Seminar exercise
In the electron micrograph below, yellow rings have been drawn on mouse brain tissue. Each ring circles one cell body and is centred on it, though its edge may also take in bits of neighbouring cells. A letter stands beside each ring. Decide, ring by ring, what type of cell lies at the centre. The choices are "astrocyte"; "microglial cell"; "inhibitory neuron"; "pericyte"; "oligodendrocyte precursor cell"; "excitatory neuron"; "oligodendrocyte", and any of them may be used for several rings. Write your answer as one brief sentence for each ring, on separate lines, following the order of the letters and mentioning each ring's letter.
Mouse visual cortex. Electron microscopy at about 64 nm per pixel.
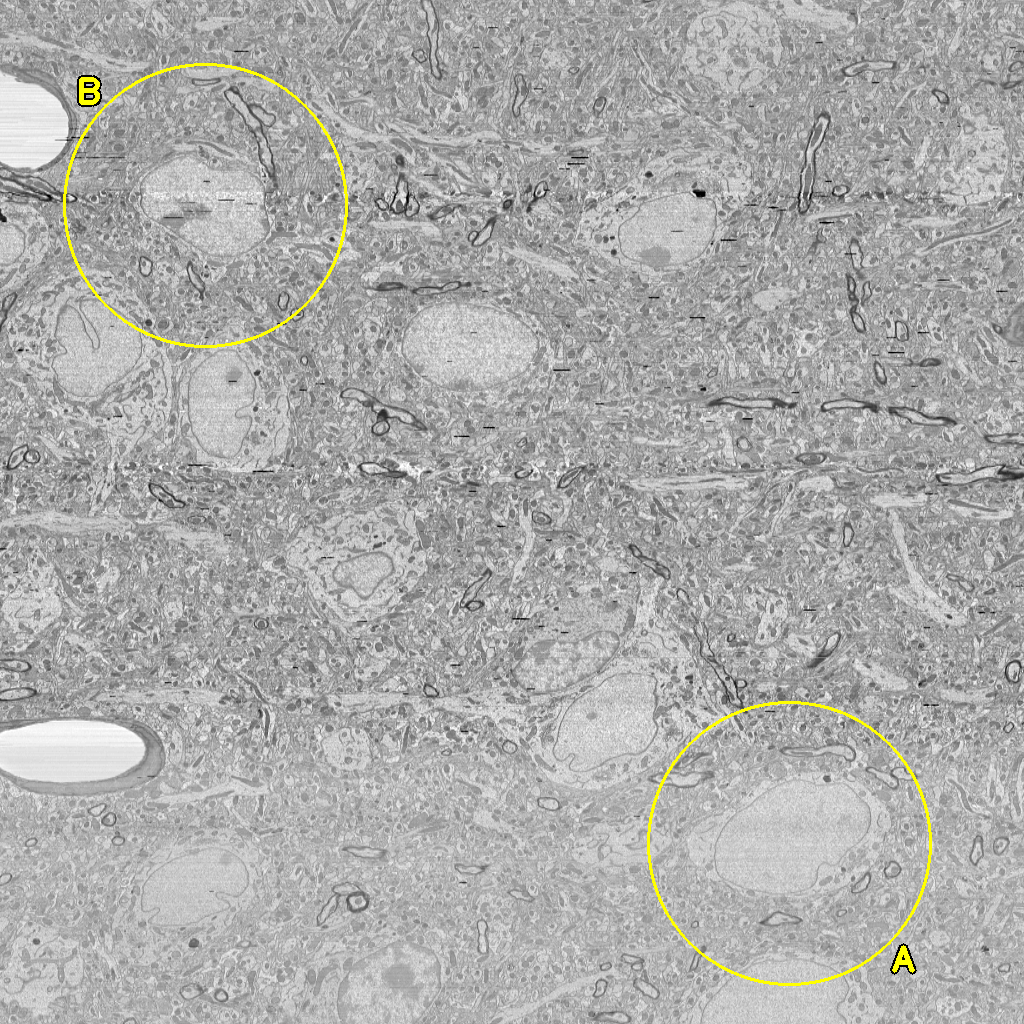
The cell in the middle of ring A is an excitatory neuron.
The cell in the middle of ring B is an astrocyte.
